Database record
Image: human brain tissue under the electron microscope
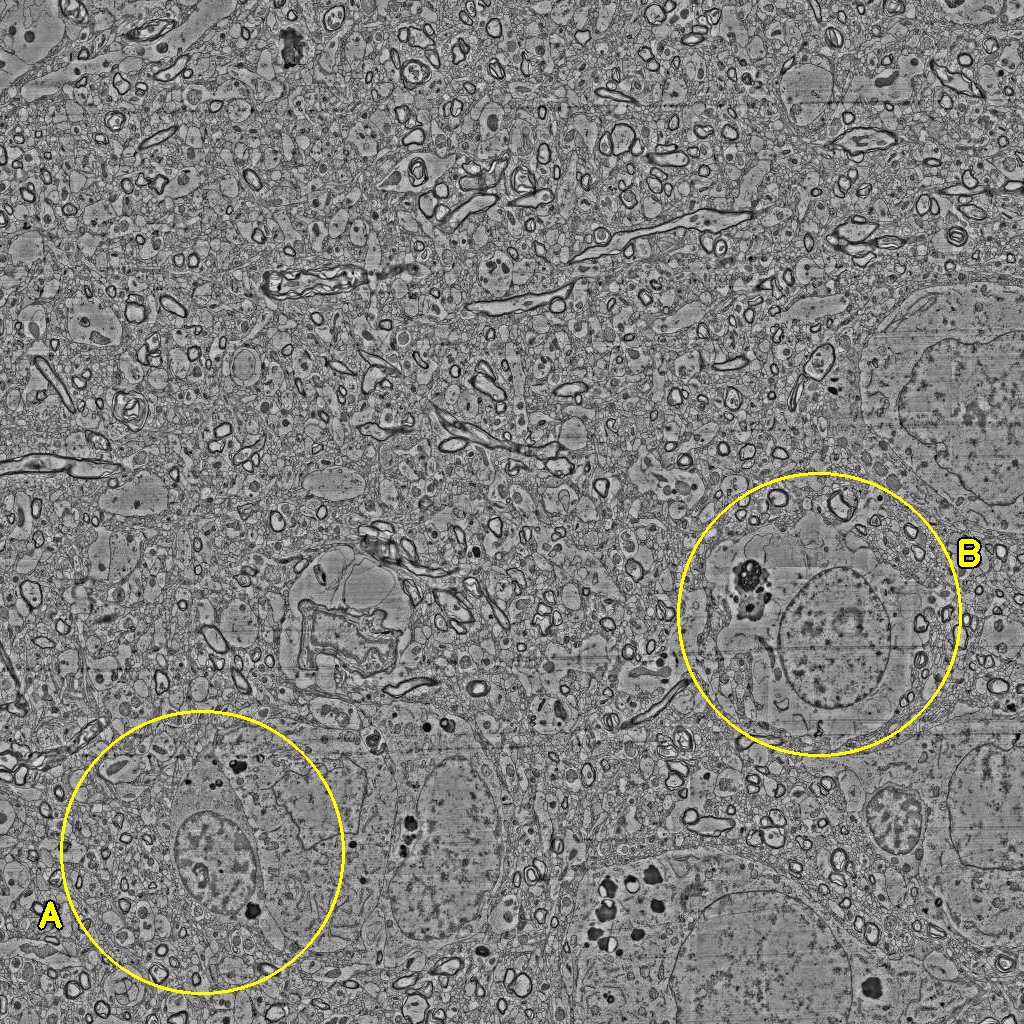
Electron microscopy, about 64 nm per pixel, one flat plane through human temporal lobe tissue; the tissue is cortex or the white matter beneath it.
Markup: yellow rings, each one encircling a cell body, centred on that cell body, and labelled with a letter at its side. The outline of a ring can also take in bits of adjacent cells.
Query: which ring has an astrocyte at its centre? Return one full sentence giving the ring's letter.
In this image, that kind of cell lies at the centre of the ring labelled B.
